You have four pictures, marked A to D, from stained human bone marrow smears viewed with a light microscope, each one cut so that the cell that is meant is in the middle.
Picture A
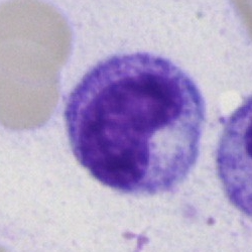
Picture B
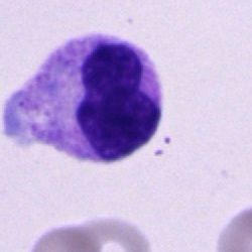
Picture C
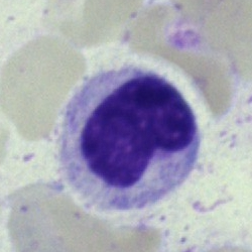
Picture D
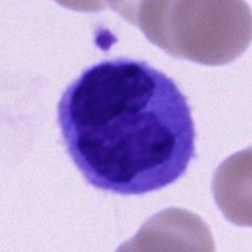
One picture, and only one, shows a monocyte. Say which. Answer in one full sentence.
Picture D is the one that shows the monocyte.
